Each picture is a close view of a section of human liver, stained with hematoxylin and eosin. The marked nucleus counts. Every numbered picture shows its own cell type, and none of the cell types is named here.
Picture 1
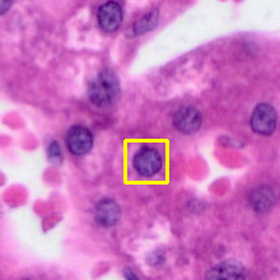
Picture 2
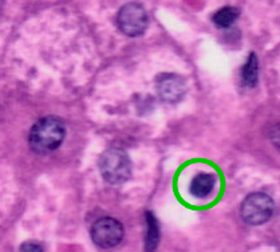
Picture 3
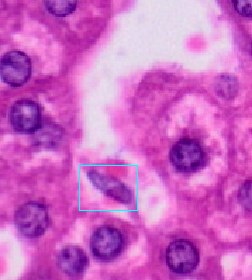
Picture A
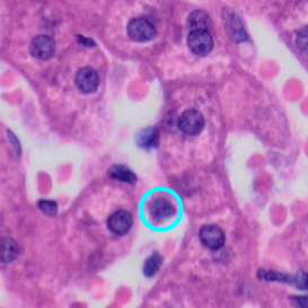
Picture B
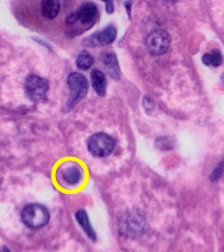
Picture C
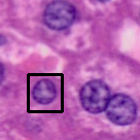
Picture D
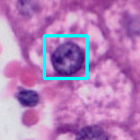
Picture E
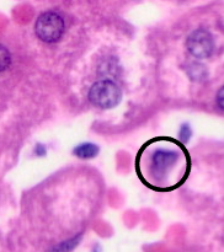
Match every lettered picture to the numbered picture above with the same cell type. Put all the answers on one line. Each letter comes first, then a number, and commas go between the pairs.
A 3, B 2, C 1, D 1, E 3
